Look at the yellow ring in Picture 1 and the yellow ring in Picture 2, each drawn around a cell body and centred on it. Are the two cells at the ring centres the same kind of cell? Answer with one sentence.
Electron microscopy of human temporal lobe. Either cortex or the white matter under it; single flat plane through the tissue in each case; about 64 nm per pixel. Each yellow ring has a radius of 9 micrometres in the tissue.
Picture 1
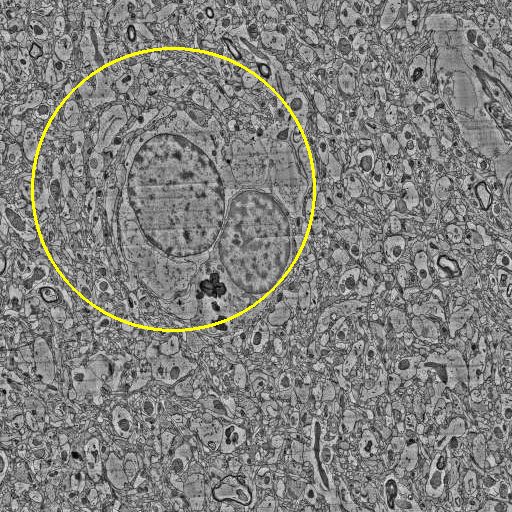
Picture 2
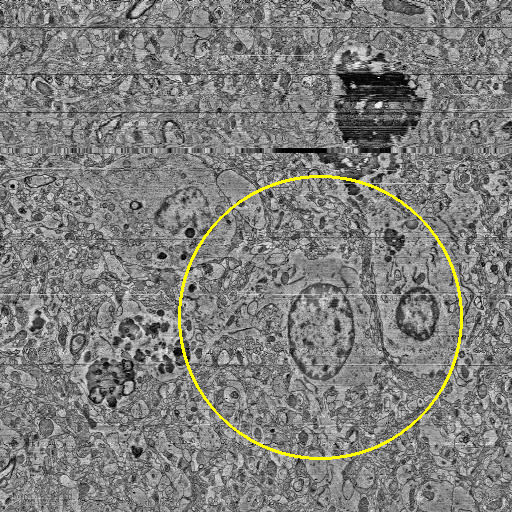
Yes, both are the same kind of cell.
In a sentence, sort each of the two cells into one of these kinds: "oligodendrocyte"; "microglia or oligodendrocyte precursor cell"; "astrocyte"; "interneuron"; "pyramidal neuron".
Both pictures show an astrocyte at the centre of the ring.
